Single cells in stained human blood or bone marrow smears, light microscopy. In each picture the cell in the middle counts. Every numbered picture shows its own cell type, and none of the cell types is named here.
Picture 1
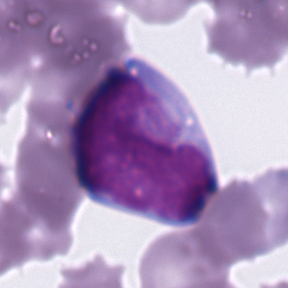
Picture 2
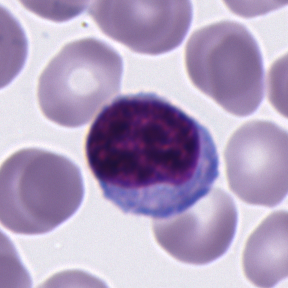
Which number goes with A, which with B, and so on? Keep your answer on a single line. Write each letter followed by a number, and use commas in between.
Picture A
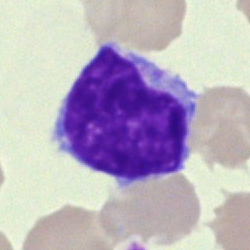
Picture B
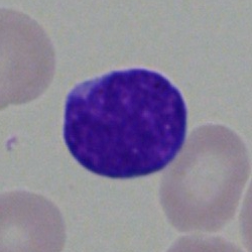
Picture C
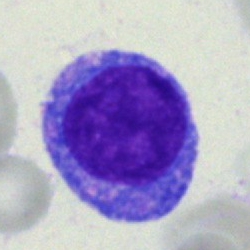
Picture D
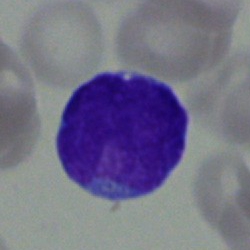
A 2, B 1, C 1, D 1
